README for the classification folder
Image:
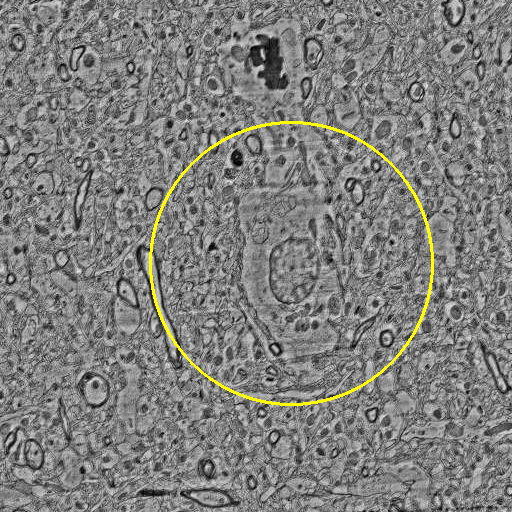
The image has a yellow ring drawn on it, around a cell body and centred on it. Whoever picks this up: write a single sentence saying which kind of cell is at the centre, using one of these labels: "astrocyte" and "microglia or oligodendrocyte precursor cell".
This cell body is that of an astrocyte.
